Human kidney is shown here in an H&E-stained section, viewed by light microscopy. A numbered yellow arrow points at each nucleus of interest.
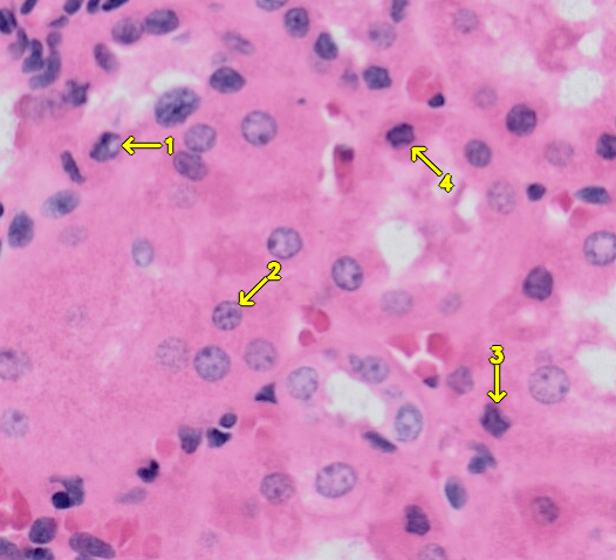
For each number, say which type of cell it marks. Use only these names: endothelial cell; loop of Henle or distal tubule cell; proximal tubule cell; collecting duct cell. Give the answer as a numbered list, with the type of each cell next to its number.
1. loop of Henle or distal tubule cell
2. proximal tubule cell
3. proximal tubule cell
4. proximal tubule cell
